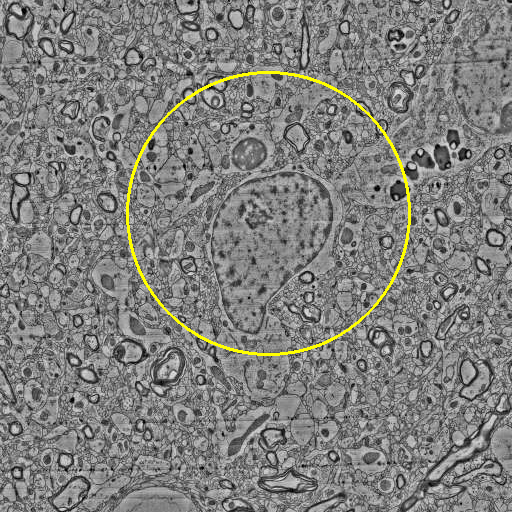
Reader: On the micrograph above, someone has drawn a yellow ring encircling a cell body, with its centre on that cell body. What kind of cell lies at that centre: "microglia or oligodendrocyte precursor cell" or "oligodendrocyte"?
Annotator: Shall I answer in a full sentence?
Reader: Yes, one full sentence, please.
Here a microglial cell or oligodendrocyte precursor cell sits at the centre of the yellow ring drawn on the micrograph.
